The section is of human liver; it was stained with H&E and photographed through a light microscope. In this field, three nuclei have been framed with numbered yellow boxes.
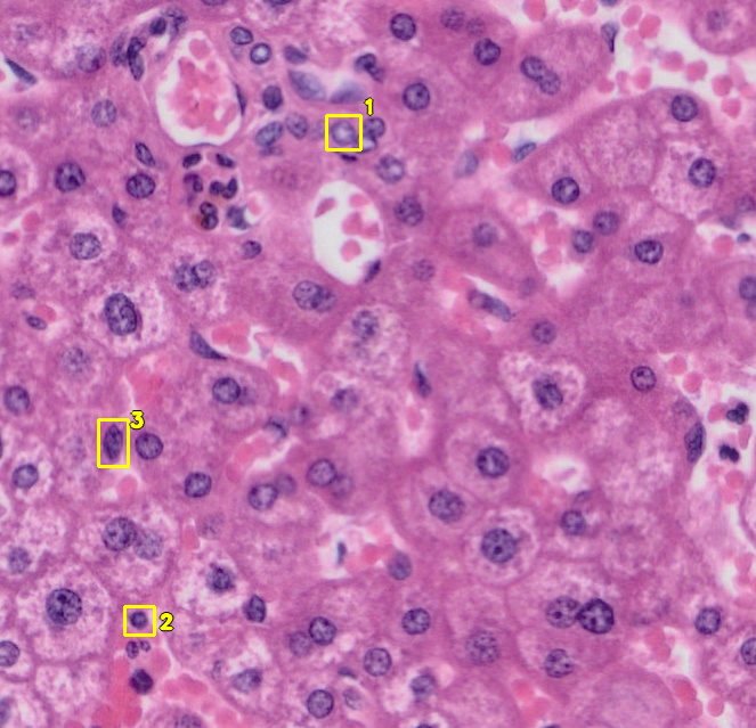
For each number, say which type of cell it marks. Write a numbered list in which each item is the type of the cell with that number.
1. cholangiocyte
2. lymphocyte
3. fibroblast or stellate cell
